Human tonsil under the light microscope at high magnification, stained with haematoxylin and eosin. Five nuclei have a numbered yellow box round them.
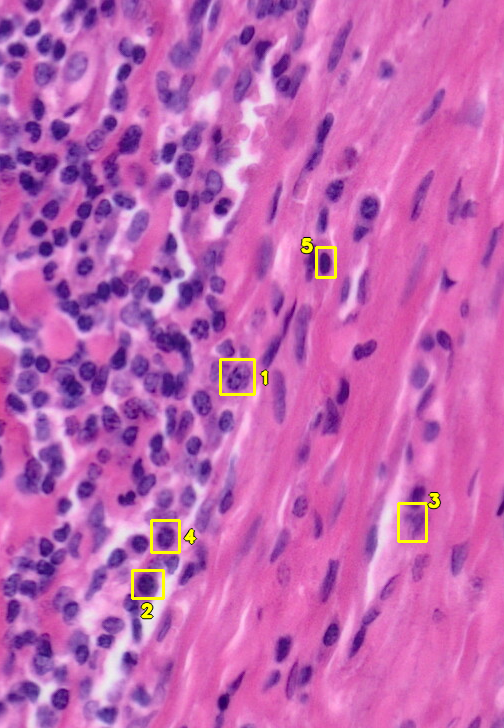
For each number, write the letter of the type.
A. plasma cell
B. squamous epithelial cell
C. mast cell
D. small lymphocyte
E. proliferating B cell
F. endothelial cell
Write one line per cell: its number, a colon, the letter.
1: A
2: A
3: F
4: A
5: C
